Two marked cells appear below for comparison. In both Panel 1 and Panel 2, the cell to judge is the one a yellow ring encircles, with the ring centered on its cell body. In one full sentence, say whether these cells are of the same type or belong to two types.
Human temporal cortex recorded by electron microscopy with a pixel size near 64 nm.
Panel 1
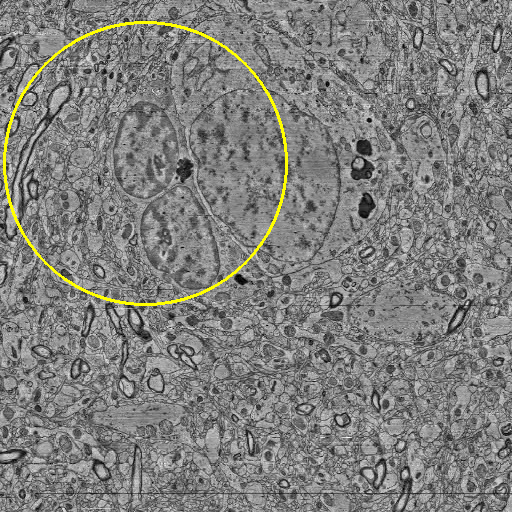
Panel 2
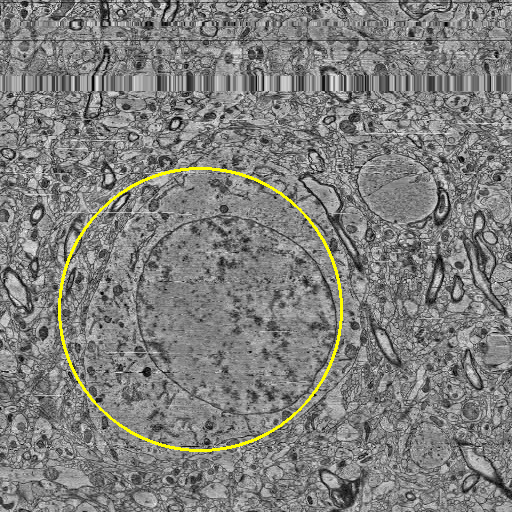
The cell centered in the Panel 1 ring and the one in Panel 2 belong to two types.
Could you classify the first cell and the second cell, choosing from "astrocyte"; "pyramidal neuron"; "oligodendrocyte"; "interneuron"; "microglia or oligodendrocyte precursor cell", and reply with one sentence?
The second cell is a pyramidal neuron, while the first is an oligodendrocyte.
